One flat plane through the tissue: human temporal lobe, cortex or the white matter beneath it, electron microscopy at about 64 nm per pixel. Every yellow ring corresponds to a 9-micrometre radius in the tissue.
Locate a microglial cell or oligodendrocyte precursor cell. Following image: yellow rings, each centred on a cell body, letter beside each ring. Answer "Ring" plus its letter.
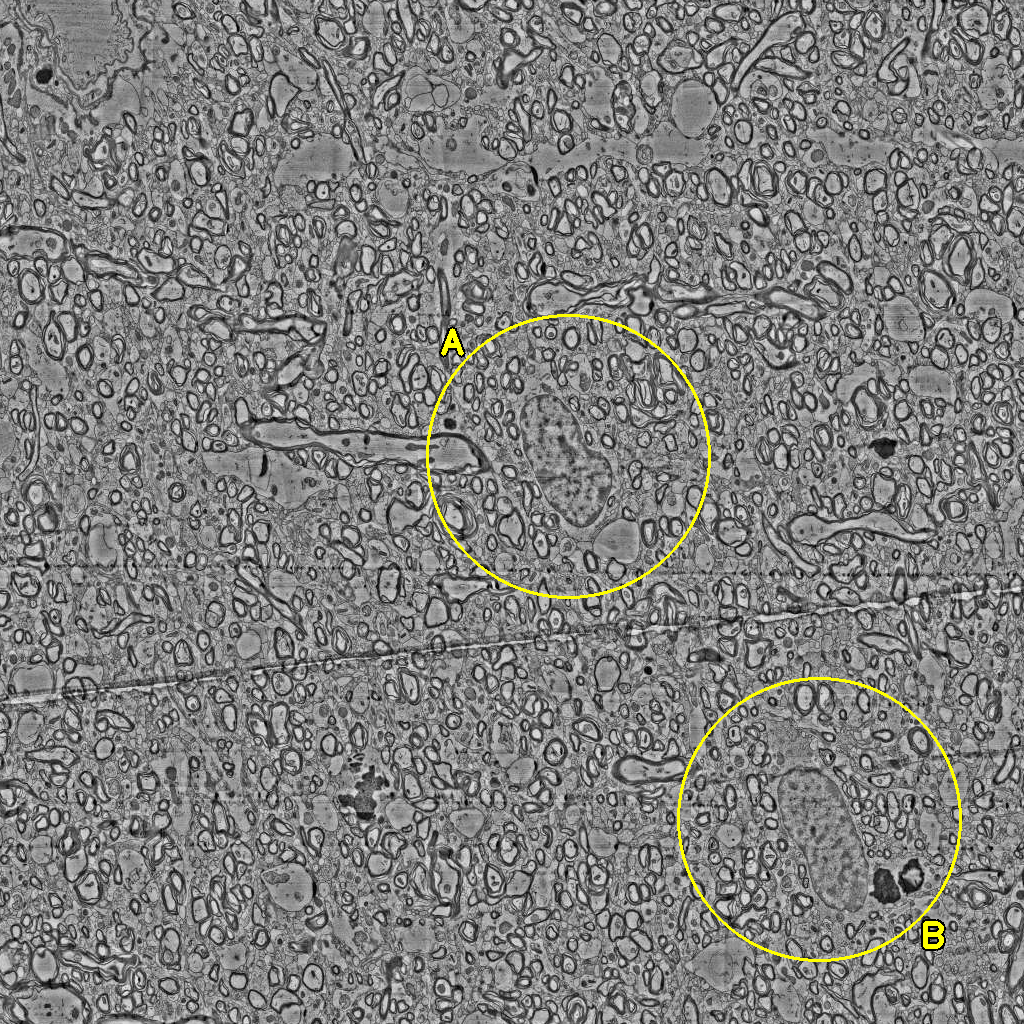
Ring A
